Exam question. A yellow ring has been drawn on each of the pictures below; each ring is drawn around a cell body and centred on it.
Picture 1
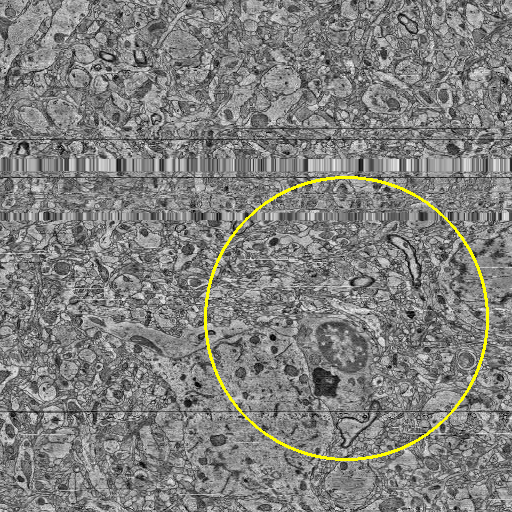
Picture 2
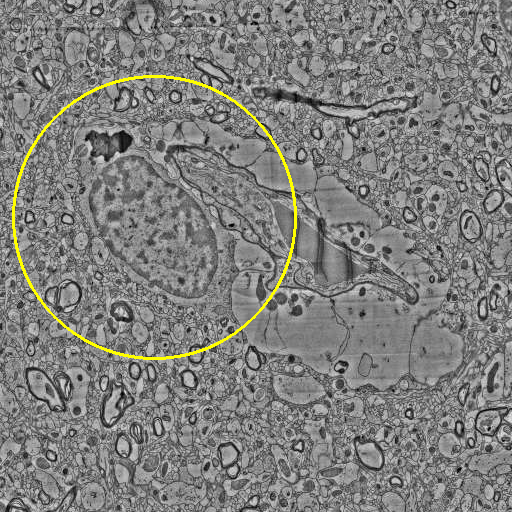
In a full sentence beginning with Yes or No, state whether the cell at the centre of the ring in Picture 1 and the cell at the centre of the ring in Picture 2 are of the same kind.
Yes, the two cells are of the same kind.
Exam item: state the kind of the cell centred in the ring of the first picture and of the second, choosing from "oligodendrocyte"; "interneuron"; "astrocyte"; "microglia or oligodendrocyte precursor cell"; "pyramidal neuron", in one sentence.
The cell in the first picture is an oligodendrocyte, and so is the one in the second.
